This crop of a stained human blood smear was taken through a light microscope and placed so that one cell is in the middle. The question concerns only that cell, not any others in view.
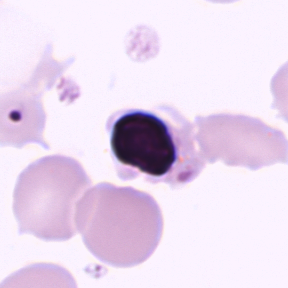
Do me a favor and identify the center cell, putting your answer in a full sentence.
Located at the centre of the crop is an erythroblast.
